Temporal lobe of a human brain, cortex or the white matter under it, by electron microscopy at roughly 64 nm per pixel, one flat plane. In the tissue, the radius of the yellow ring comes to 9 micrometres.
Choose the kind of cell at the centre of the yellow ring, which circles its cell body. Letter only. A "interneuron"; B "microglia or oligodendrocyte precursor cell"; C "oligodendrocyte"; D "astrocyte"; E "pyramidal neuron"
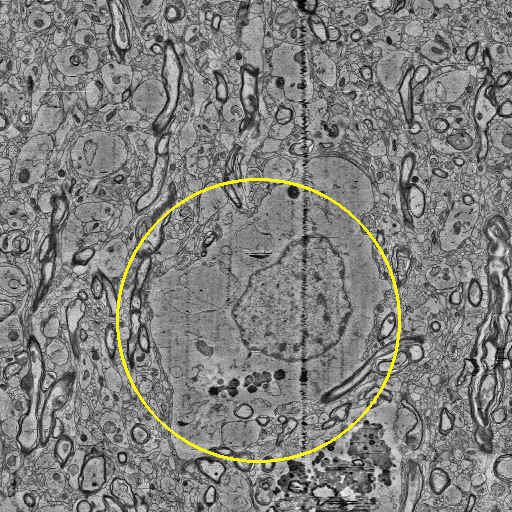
D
